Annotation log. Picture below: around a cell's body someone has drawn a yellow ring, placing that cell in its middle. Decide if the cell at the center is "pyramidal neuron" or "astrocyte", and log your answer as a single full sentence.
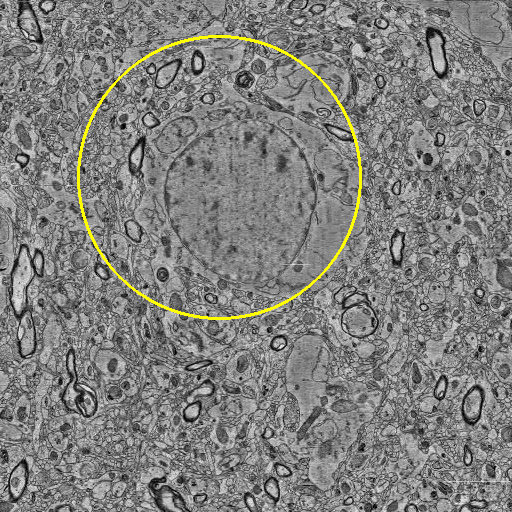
My entry records an astrocyte as the cell sitting at the center of the yellow ring.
